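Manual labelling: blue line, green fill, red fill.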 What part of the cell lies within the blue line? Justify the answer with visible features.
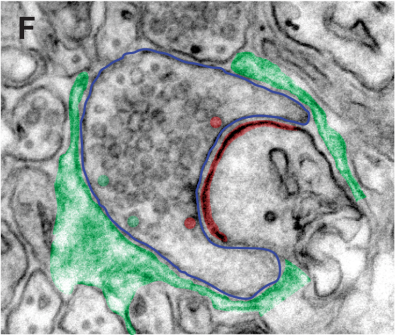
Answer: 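Presynaptic terminal. The blue line encloses a profile packed with small round vesicles. The enclosed profile curves around a neighbouring profile.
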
